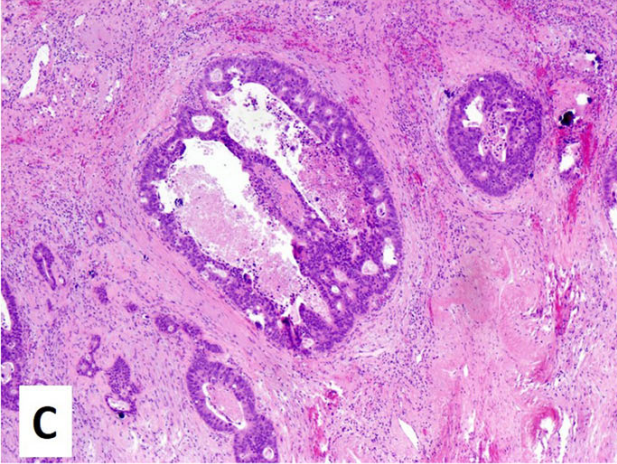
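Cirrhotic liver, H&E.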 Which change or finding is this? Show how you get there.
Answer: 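Large irregular glands lined by crowded tall columnar cells with elongated dark nuclei. Gland lumens contain pink necrotic debris. Glands lie in pink fibrous stroma.
Answer: Metastatic colorectal adenocarcinoma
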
